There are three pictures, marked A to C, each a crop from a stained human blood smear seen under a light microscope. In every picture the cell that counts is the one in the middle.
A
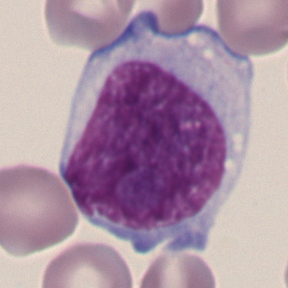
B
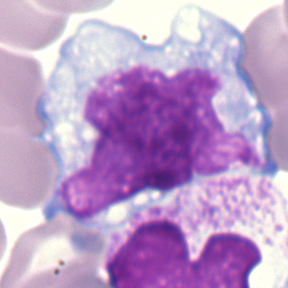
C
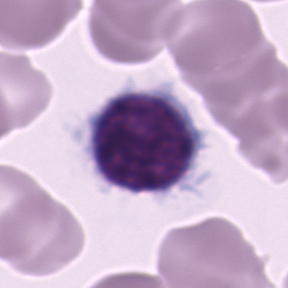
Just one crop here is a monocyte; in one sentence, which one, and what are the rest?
The cell of interest in crop B is a monocyte, and crop A is a myeloblast and crop C is a hairy cell.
